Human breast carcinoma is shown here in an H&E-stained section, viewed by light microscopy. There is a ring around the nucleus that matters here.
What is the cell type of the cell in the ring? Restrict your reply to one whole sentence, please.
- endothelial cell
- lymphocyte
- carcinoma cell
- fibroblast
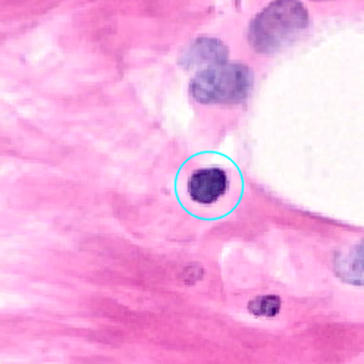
In this section of tissue, the cell in the ring is a lymphocyte.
